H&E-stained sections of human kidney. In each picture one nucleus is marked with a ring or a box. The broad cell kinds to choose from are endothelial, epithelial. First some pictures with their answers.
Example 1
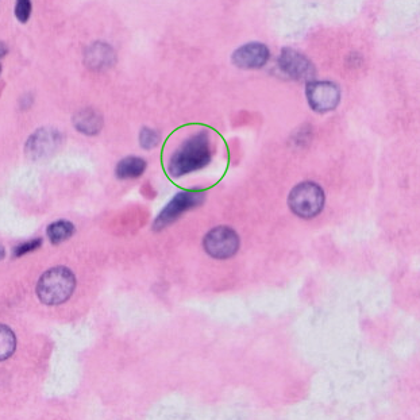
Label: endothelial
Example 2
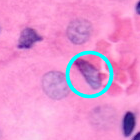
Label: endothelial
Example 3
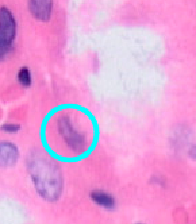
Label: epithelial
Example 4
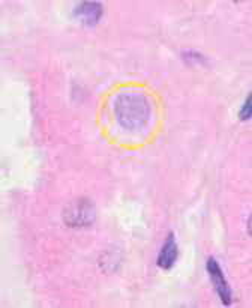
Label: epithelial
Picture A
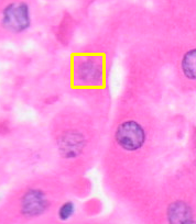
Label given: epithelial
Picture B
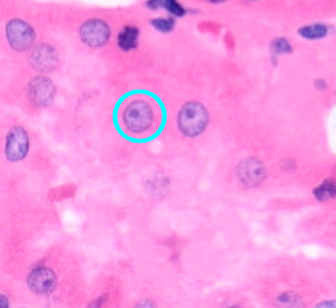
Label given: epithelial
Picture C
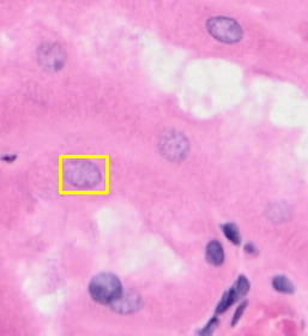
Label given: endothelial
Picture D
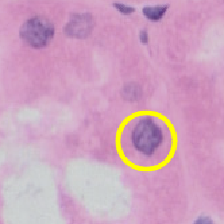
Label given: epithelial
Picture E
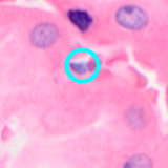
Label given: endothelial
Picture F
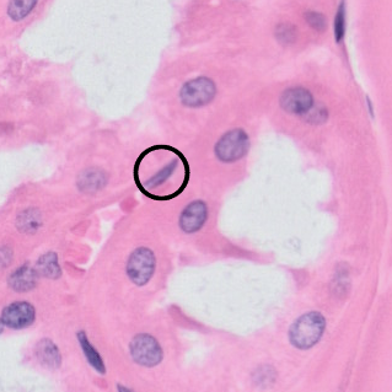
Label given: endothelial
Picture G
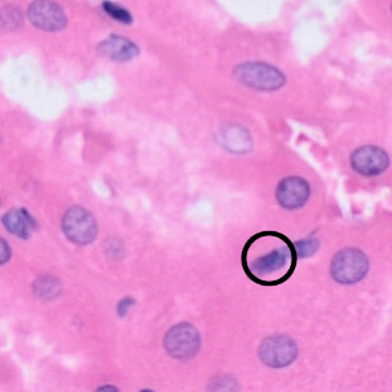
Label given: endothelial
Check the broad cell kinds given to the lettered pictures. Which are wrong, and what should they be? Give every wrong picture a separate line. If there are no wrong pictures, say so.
C: not endothelial but epithelial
